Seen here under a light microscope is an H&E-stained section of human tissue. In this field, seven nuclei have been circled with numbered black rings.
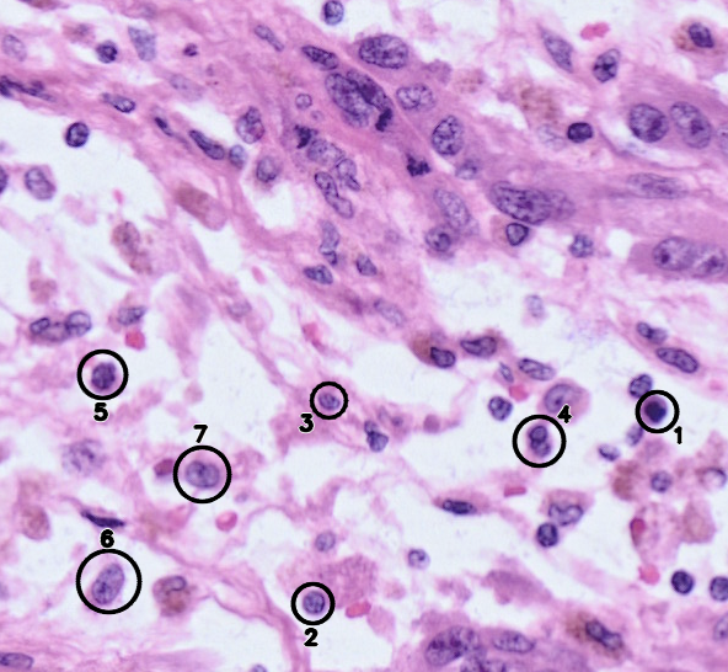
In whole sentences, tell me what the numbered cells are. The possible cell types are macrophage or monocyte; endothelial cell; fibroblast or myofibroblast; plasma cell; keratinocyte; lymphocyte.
Cell 1 is a plasma cell, cell 2 is a lymphocyte, cell 3 is a lymphocyte, cell 4 is a macrophage or monocyte, cell 5 is a macrophage or monocyte, cell 6 is a macrophage or monocyte and cell 7 is a macrophage or monocyte.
